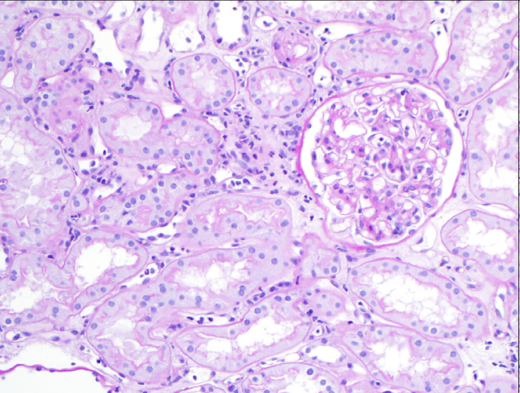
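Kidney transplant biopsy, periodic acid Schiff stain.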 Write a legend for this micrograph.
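Basement membranes of the glomerular capillary loops, Bowman's capsule and the tubules are outlined in magenta. Within the glomerulus, the capillary loops contain many nuclei, suggesting cells crowding the lumens. The tubules are lined by cuboidal cells with pale pink cytoplasm, round purple nuclei and a frayed luminal brush border. Small clusters of dark nuclei lie in the narrow spaces between tubules, where peritubular capillaries run.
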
